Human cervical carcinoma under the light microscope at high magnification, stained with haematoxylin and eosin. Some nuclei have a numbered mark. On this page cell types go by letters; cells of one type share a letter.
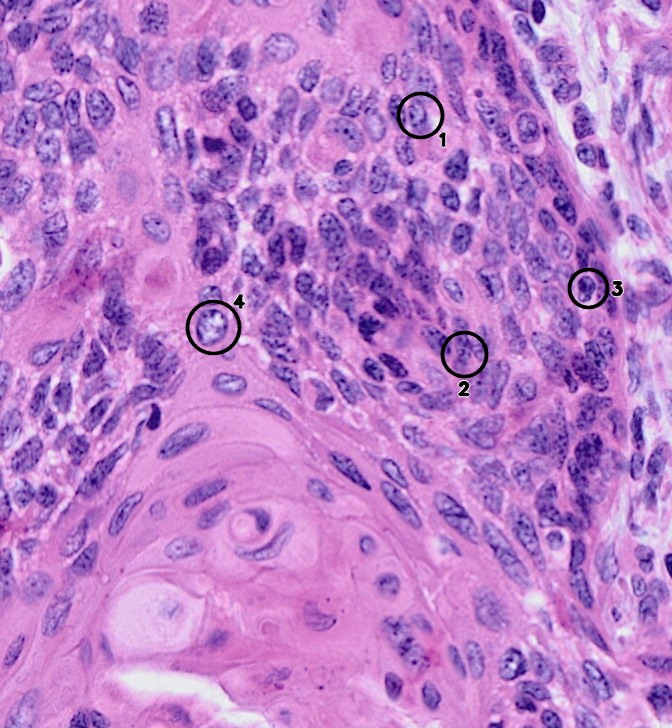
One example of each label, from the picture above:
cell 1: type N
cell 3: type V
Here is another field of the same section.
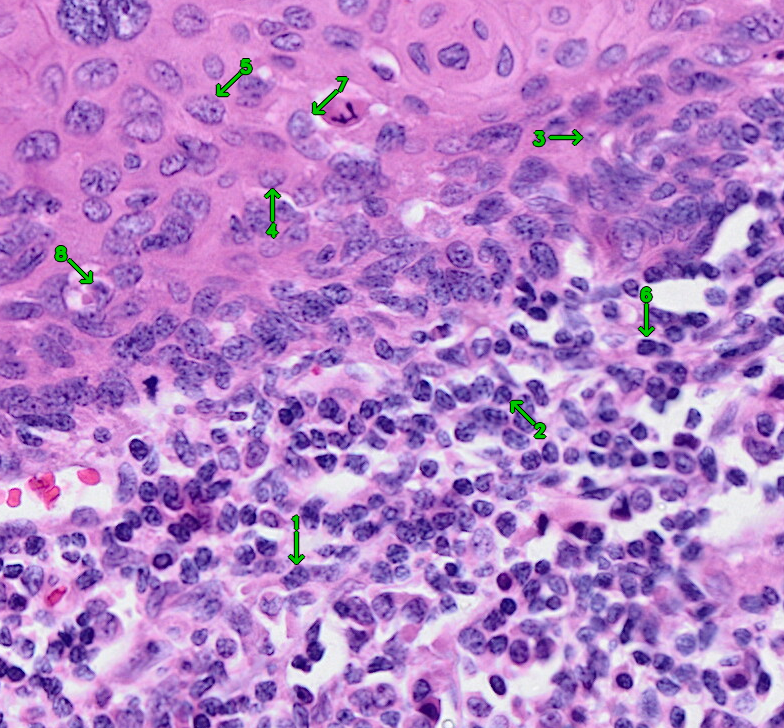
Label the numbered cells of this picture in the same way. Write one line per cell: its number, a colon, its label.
1: type V
2: type V
3: type N
4: type N
5: type N
6: type V
7: type N
8: type N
